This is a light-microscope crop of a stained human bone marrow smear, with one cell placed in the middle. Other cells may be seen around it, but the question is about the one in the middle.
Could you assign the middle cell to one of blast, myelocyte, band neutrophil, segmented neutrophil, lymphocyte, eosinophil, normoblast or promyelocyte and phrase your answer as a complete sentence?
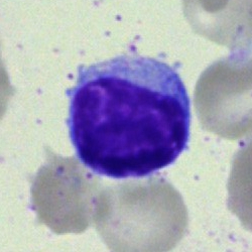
Framed in the middle of the crop is a lymphocyte.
